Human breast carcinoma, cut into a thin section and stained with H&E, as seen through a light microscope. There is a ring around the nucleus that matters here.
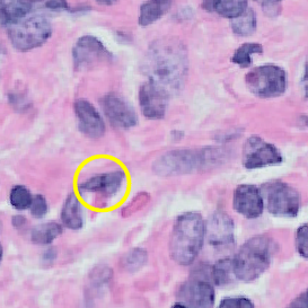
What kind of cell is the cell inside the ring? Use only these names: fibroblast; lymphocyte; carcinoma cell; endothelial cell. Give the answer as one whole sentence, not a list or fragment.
As for its identity, the cell inside the ring is an endothelial cell.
